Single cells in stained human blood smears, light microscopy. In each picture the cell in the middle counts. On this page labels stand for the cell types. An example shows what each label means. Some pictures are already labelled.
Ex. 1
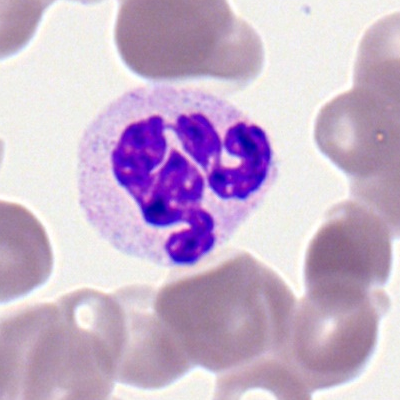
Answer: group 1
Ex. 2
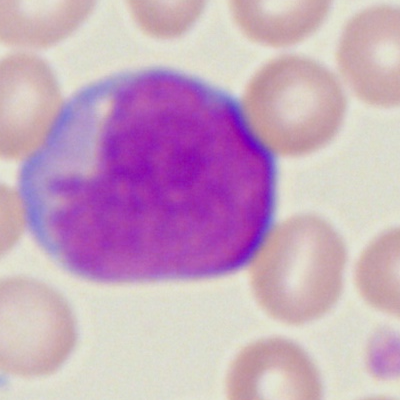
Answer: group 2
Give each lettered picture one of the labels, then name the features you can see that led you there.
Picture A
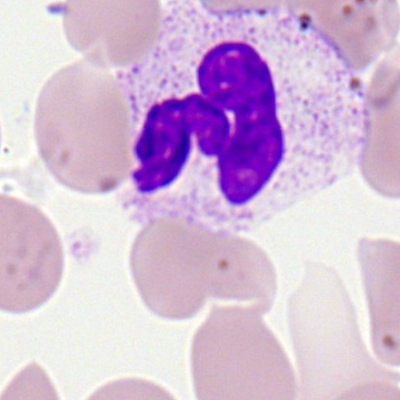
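group 1. The cytoplasm is abundant and pale pinkish-lilac.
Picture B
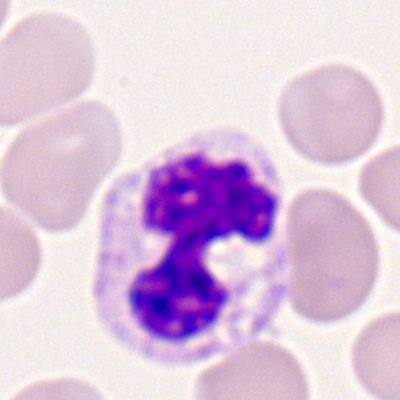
group 1. The cytoplasm is abundant and pale pinkish-lilac.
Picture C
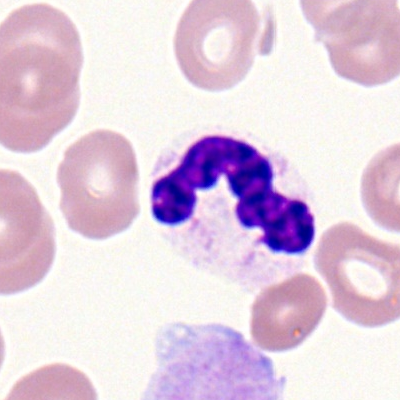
group 1. The cytoplasm is abundant and pale pinkish-lilac.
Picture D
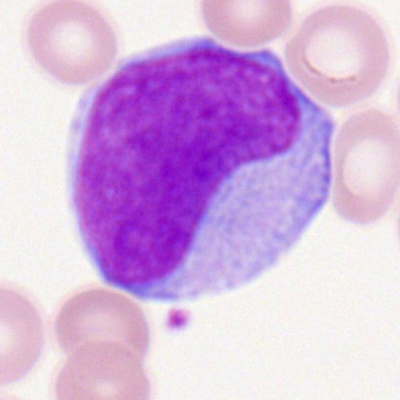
group 2. The nucleus is a single unbroken mass, not divided into lobes.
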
